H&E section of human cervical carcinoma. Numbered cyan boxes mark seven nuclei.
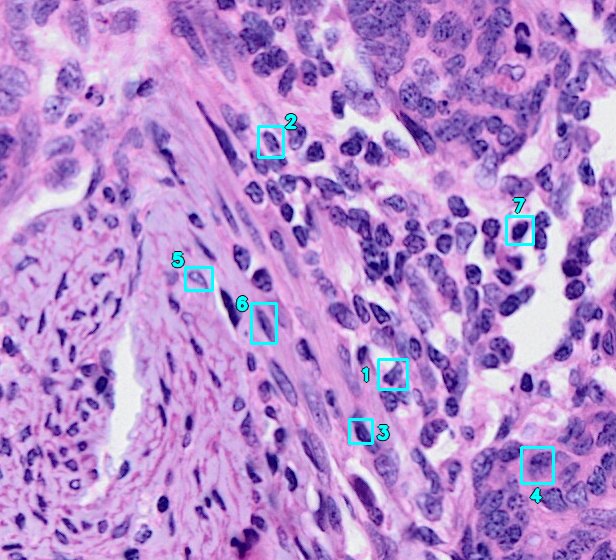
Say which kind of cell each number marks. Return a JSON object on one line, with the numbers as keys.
{"1": "lymphocyte", "2": "lymphocyte", "3": "lymphocyte", "4": "squamous carcinoma cell", "5": "smooth muscle cell", "6": "fibroblast", "7": "lymphocyte"}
